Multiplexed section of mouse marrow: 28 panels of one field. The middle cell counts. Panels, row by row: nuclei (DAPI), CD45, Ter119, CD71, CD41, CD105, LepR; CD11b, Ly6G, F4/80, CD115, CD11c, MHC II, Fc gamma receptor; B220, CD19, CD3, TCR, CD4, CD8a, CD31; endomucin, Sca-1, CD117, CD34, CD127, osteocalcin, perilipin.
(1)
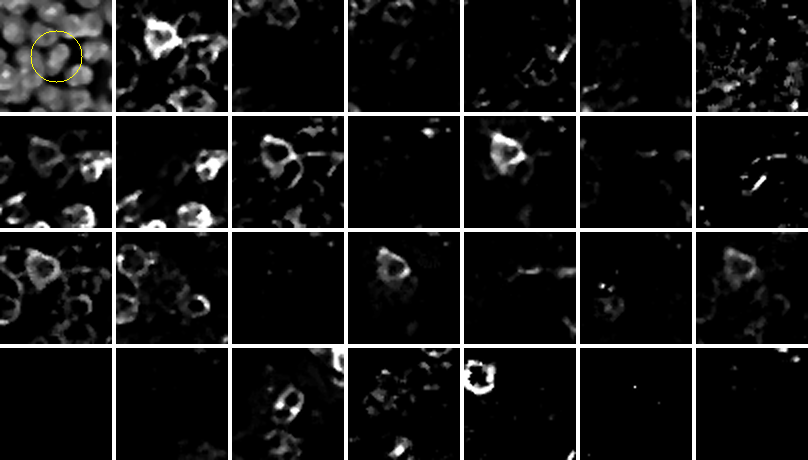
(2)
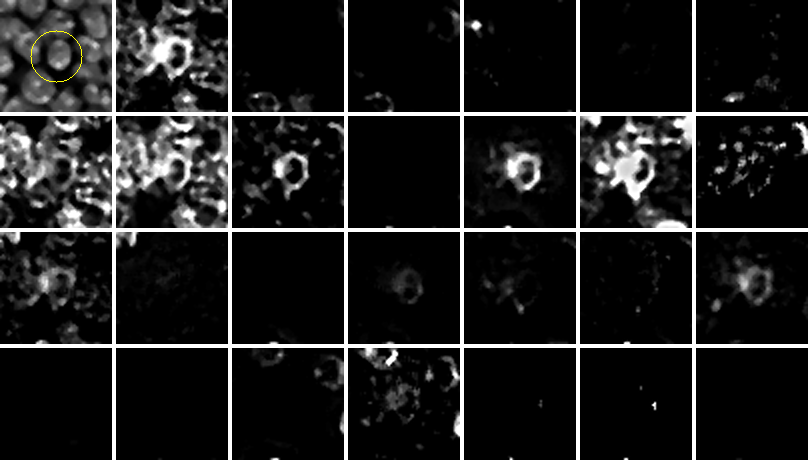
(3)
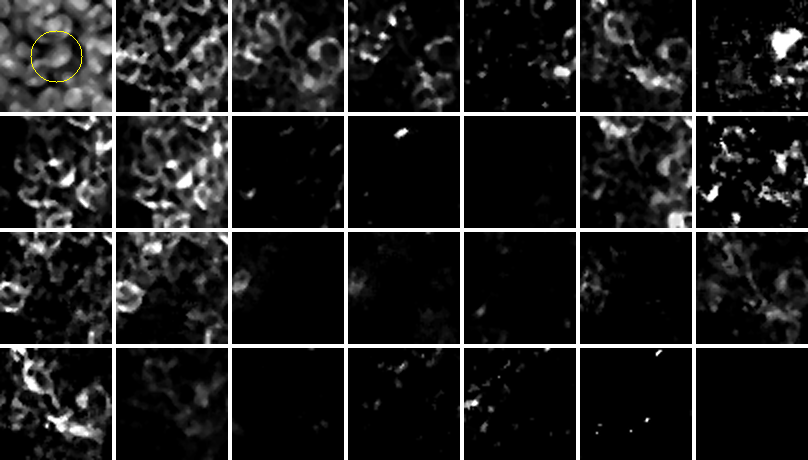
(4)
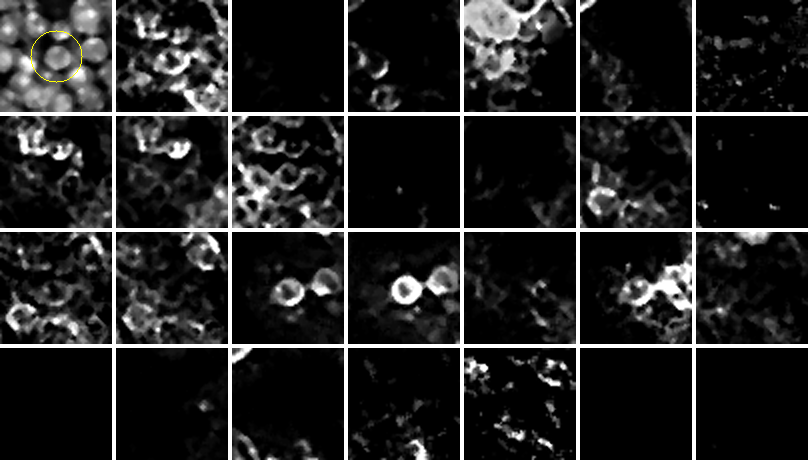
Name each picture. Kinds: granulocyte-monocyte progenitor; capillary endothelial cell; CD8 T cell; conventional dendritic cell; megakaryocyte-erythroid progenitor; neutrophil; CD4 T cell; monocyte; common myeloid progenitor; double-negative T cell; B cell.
(1) granulocyte-monocyte progenitor
(2) conventional dendritic cell
(3) neutrophil
(4) CD8 T cell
